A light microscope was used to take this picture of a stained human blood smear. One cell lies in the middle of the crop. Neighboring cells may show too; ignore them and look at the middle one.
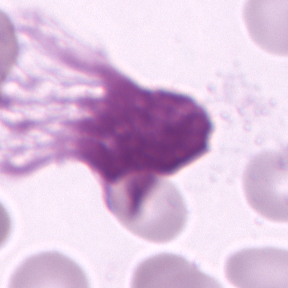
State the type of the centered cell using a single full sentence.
The cell in the exact centre of the crop is a smudge cell.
